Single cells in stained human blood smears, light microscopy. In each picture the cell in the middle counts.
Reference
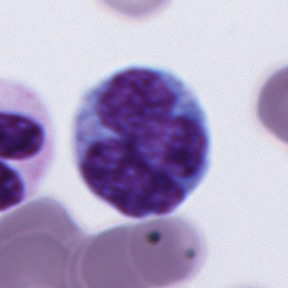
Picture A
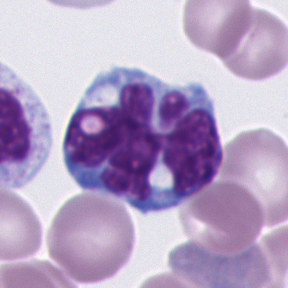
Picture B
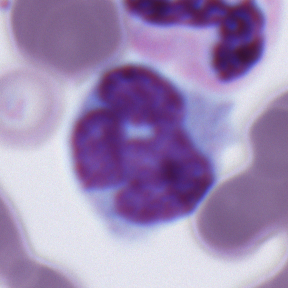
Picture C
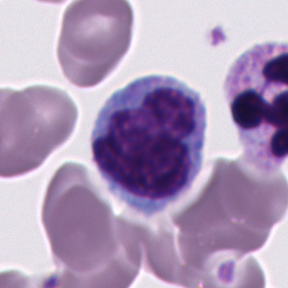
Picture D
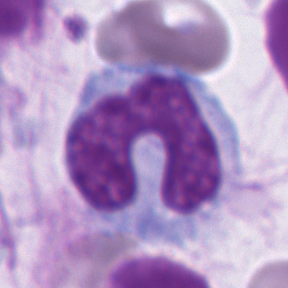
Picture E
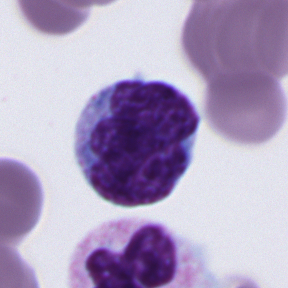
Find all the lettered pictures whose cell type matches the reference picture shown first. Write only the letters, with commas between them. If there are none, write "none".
A, B, C, D, E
